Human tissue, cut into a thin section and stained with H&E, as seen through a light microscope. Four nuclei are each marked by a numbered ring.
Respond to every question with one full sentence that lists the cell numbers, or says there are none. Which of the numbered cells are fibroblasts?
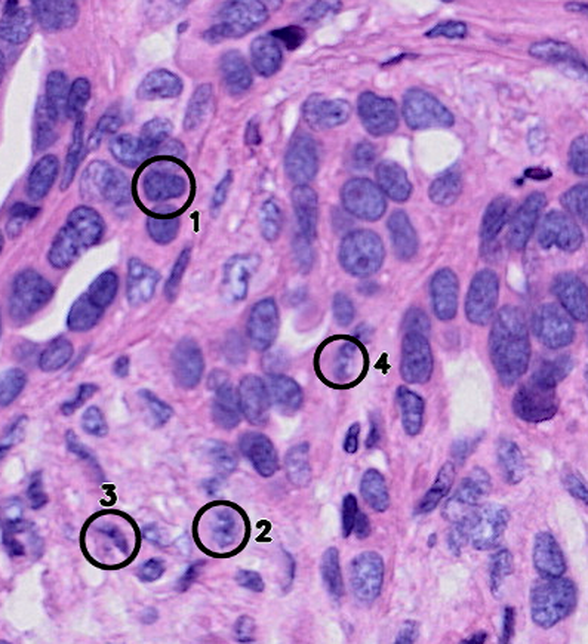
Cells 2, 3 and 4 are recognised here as fibroblasts.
